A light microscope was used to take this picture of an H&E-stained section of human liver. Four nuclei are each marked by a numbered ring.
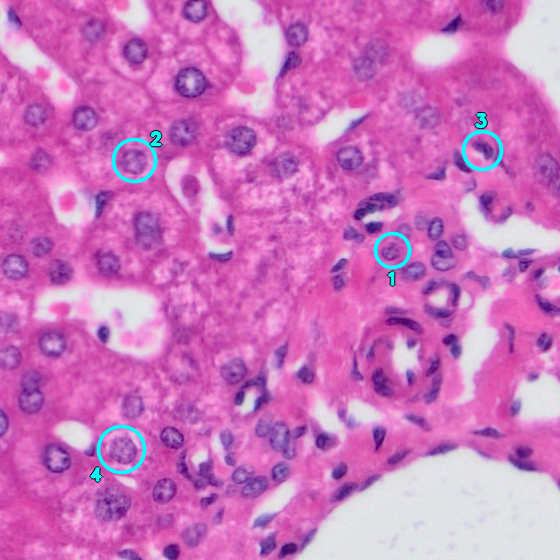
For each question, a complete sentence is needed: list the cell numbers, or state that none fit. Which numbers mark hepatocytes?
Each of the cells numbered 2 and 4 is among the hepatocytes.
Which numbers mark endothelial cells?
There is not a single one of the endothelial cells among the numbered cells.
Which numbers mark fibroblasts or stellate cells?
Of those with numbers, only cell 3 is a fibroblast or stellate cell.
